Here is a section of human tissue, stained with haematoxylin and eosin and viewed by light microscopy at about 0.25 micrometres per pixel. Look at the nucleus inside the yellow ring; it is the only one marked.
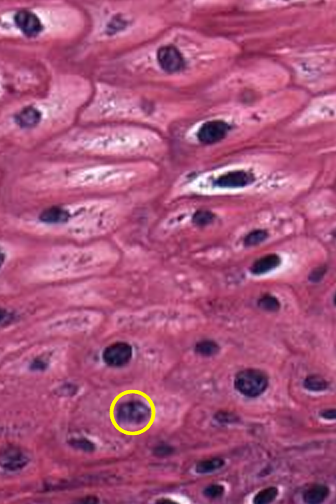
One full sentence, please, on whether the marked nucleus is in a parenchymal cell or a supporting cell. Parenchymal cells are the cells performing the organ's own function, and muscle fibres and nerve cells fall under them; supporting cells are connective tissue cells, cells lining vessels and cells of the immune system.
The marked nucleus is the nucleus of a parenchymal cell, namely a squamous epithelial cell.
